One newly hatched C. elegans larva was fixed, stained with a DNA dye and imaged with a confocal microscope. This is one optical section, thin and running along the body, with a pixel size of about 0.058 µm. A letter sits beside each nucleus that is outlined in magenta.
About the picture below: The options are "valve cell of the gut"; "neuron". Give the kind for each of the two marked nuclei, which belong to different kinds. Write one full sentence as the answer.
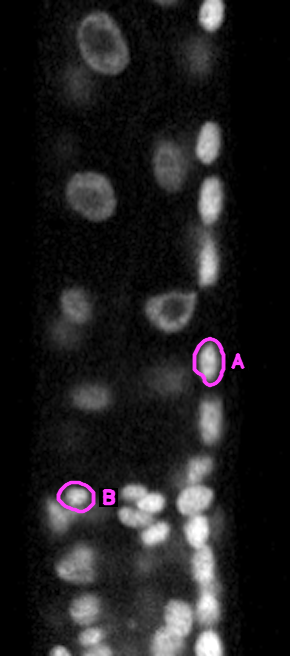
Nucleus A comes from a neuron and nucleus B from a valve cell of the gut.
